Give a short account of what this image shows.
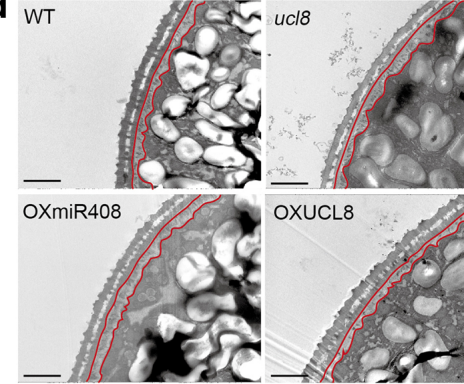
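These are electron micrographs through the wall of pollen grains, with the layered outer wall on the outside and the cytoplasm packed with large pale rounded granules on the inside. A thin inner wall layer, the intine, lies directly against the cytoplasm and is traced by red lines.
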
